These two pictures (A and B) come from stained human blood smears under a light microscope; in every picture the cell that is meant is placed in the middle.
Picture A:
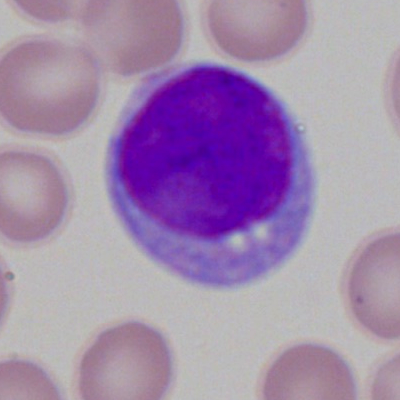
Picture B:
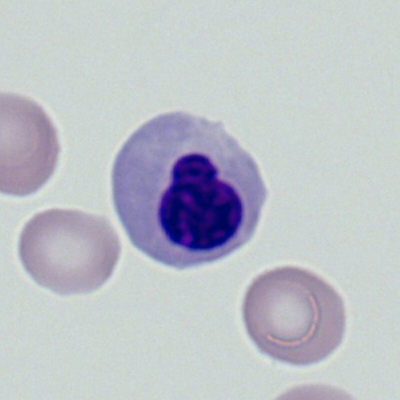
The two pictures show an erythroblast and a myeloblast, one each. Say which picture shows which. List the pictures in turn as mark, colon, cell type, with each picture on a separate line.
A: myeloblast
B: erythroblast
